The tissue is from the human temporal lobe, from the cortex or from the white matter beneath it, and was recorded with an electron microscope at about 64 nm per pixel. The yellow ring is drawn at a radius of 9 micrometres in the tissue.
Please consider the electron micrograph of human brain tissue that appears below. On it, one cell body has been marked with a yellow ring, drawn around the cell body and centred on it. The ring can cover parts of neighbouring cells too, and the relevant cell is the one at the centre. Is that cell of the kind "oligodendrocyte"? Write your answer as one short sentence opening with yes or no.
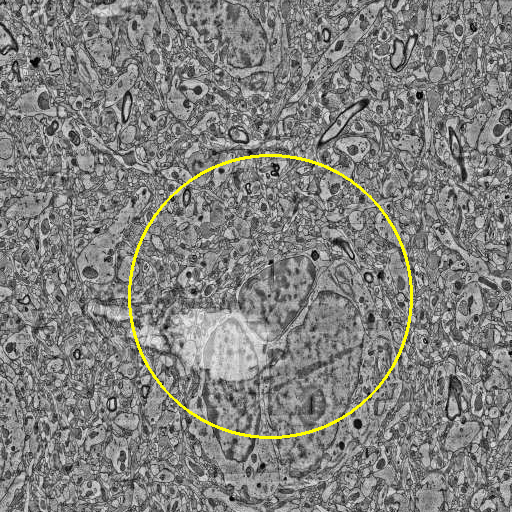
No, it is of another kind.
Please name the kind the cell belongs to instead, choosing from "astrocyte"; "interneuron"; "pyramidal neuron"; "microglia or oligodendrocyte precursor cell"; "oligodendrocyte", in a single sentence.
Instead, the ring in this picture marks a microglial cell or oligodendrocyte precursor cell.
